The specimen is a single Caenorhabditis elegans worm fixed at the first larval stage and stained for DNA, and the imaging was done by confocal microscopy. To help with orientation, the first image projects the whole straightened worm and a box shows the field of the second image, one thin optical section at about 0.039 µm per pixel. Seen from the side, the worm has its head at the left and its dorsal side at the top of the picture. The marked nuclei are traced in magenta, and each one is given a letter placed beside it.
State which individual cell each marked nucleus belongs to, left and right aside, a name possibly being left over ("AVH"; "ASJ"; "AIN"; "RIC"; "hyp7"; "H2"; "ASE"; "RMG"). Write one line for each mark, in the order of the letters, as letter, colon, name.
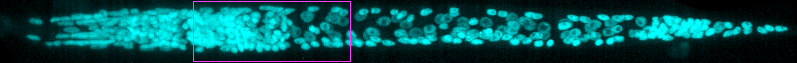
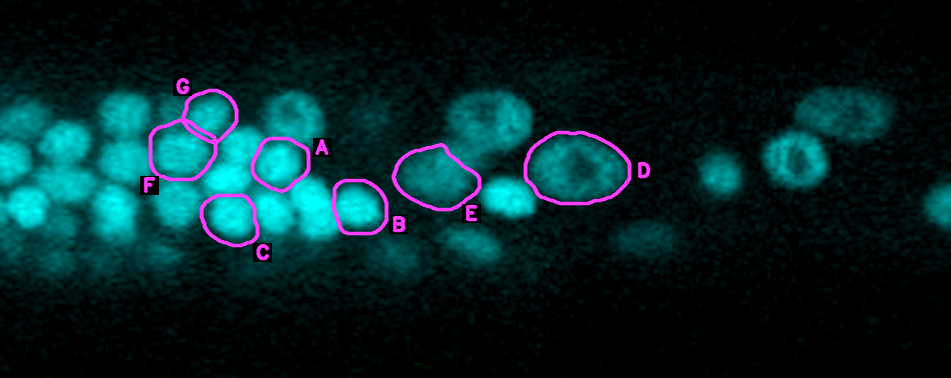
A: AIN
B: RMG
C: RIC
D: hyp7
E: H2
F: ASE
G: AVH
